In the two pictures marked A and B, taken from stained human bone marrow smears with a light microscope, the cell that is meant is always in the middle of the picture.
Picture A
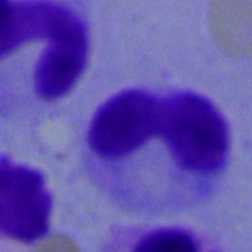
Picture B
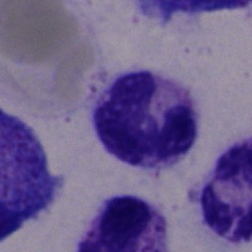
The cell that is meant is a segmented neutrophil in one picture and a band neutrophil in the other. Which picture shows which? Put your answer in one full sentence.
It is picture A that shows a band neutrophil, and picture B that shows a segmented neutrophil.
